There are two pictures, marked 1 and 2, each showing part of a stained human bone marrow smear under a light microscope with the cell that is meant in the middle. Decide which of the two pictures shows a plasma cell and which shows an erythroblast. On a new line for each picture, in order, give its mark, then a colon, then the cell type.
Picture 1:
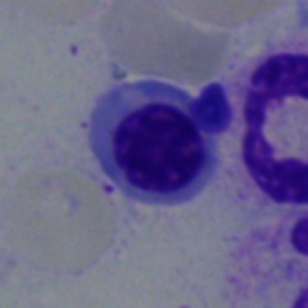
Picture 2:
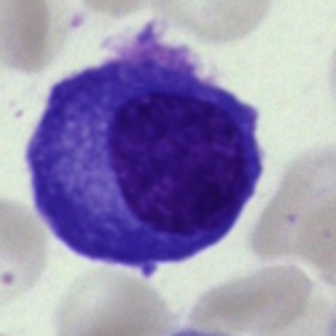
1: erythroblast
2: plasma cell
